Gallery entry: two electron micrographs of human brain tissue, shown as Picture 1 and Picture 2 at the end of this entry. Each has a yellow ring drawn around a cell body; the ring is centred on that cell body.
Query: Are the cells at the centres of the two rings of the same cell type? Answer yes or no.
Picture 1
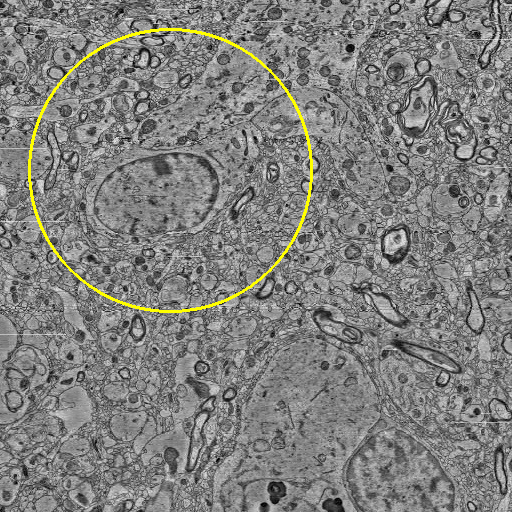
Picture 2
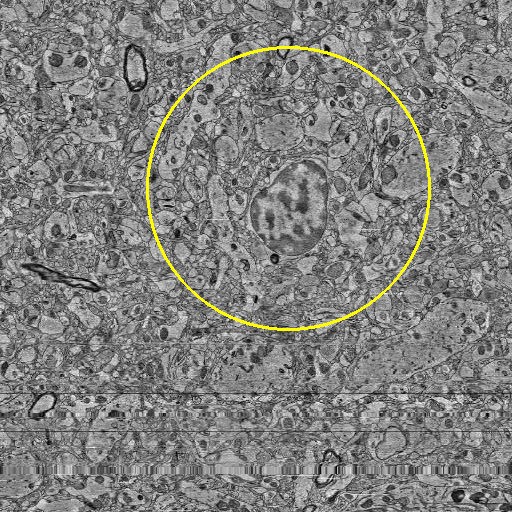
yes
